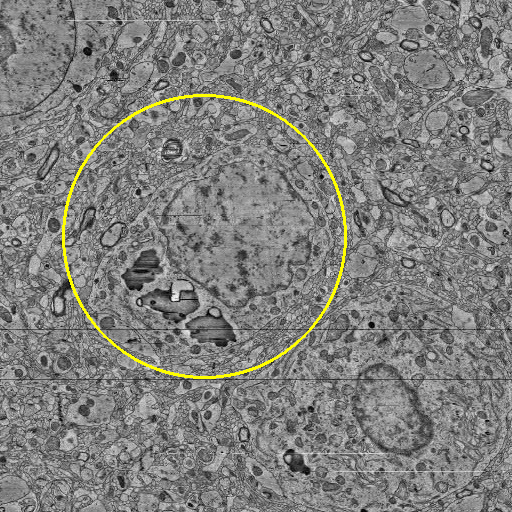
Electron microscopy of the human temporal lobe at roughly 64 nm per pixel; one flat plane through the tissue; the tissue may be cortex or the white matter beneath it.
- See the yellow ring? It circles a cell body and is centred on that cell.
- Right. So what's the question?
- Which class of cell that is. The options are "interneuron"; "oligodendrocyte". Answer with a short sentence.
The centre of the ring holds an interneuron.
